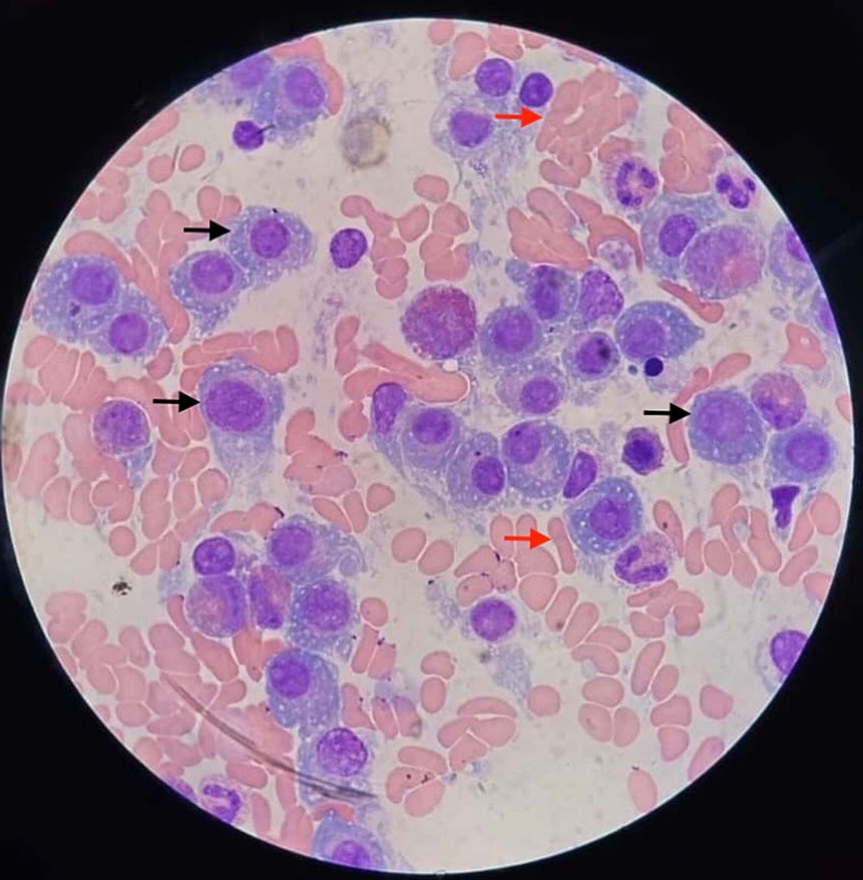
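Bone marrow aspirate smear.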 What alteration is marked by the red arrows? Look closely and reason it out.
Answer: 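Rouleaux formation. The marked red cells are stacked in overlapping rows like piles of coins. Many red cells elsewhere in the field form similar chains.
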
